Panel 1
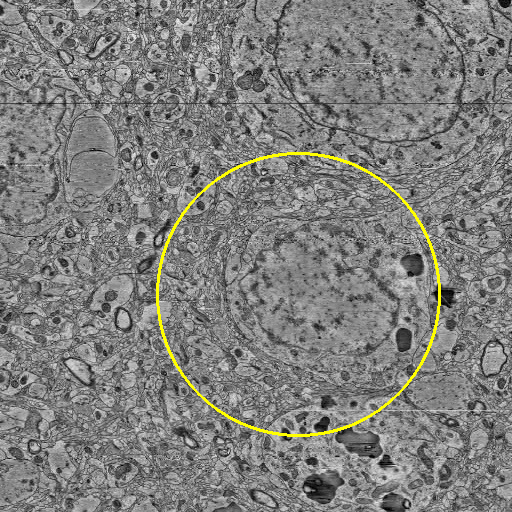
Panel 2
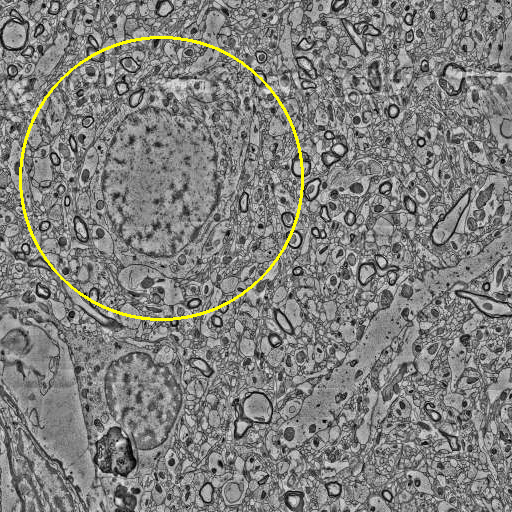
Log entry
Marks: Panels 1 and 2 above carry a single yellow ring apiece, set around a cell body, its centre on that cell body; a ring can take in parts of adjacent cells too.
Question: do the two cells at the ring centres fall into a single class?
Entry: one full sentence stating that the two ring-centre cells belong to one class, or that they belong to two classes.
The two ring-centre cells in Panels 1 and 2 belong to one class.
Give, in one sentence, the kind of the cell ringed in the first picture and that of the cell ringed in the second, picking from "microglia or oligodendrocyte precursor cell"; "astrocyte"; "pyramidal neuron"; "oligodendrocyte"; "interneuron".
In each picture the ringed cell is an interneuron.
